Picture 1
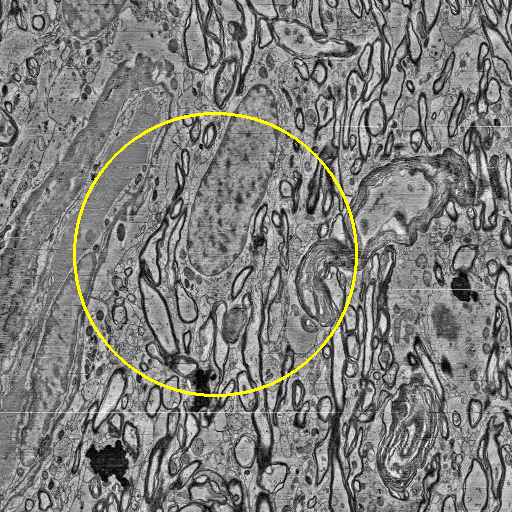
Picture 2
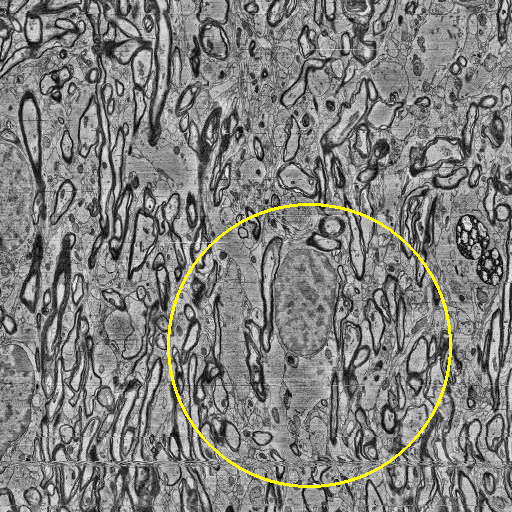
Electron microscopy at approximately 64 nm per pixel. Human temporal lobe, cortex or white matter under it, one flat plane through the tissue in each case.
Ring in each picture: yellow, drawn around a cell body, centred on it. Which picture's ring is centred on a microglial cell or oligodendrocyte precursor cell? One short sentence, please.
Picture 1 is the one.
